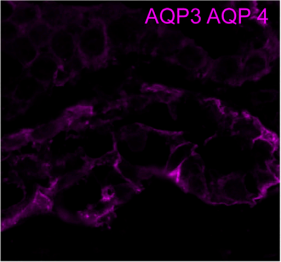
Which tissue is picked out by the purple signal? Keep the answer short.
Collecting duct.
